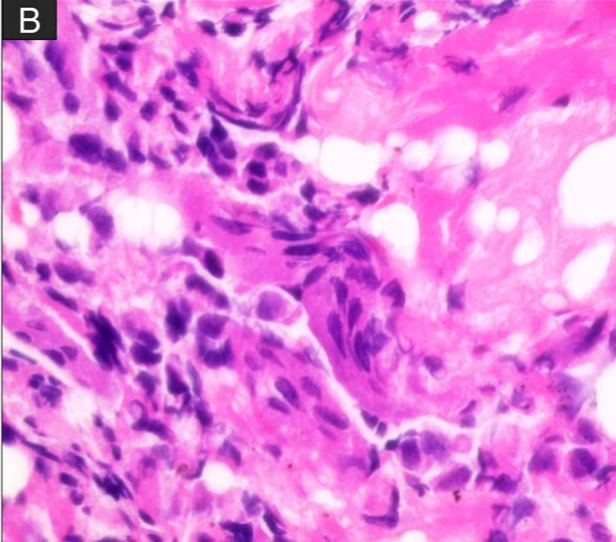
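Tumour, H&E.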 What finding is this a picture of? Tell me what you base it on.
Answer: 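Hyperchromatic nuclei. Nuclei are very dark purple. Nuclei are large and crowded compared with the small amount of cytoplasm.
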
